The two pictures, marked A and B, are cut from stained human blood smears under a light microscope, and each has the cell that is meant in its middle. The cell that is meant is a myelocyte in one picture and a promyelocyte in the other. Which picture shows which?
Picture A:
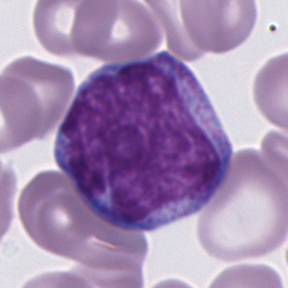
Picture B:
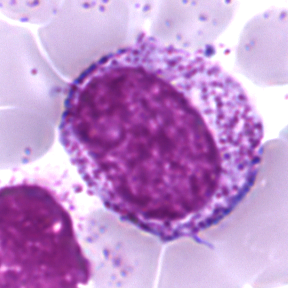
A: promyelocyte
B: myelocyte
